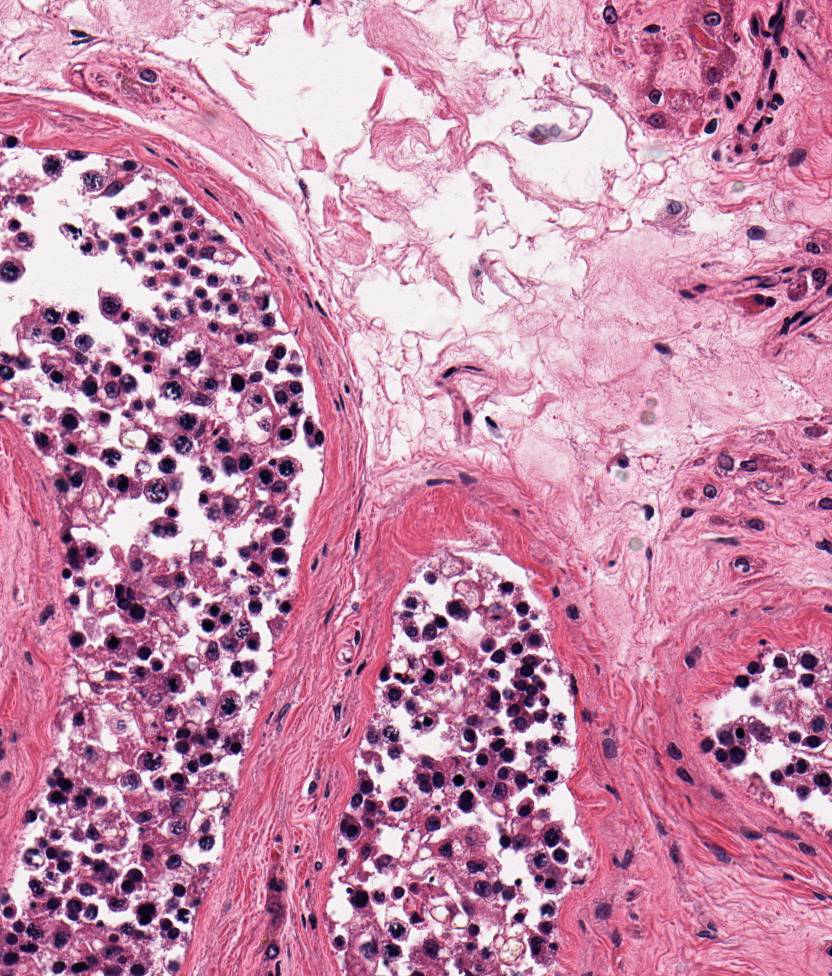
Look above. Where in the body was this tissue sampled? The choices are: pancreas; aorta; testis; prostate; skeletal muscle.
testis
